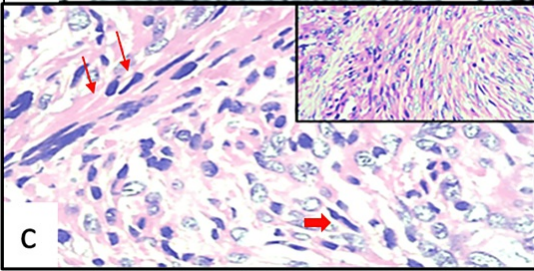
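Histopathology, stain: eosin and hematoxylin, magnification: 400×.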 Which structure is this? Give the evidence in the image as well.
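Fascicular pattern. In the inset, spindle cells run in bundles.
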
